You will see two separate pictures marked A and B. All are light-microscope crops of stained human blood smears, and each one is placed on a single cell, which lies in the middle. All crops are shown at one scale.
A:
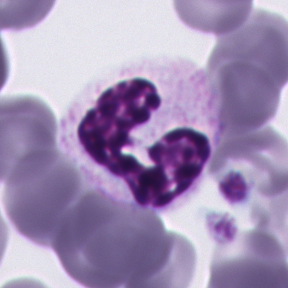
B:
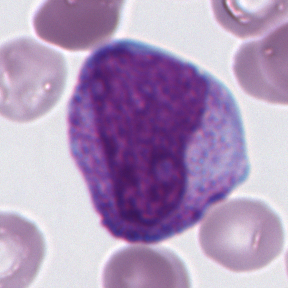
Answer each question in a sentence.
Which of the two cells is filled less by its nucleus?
It is the cell in picture A that is filled less by its nucleus.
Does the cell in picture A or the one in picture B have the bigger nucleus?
The nucleus in picture B is larger, with about 2 times the area of the one in picture A.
